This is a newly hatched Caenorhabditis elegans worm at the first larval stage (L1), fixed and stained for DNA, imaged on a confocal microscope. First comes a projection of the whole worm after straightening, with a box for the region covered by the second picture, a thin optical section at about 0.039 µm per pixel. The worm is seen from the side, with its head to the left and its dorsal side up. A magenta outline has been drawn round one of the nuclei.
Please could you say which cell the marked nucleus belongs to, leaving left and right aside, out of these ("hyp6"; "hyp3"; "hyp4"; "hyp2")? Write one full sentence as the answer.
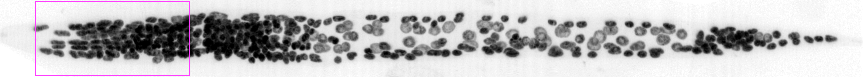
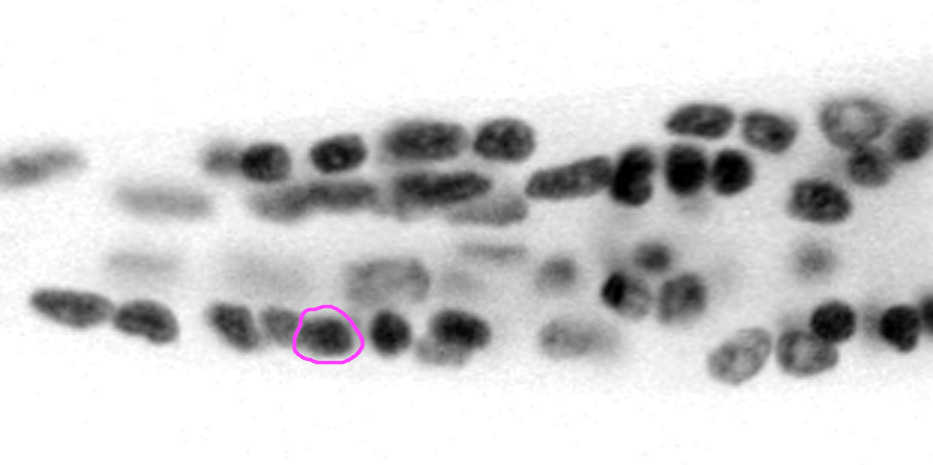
The marked nucleus belongs to hyp2, a hypodermal cell (hyp).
